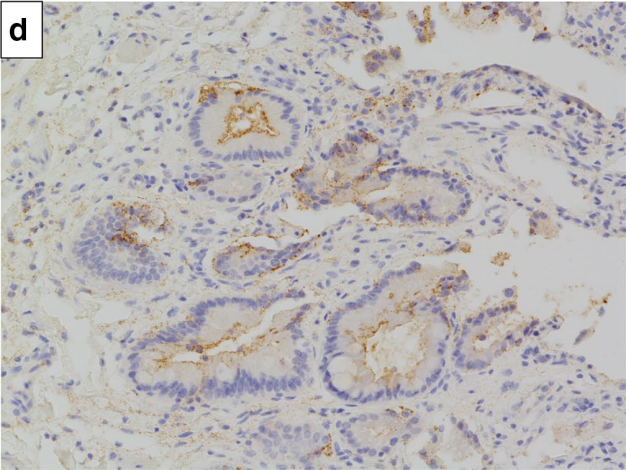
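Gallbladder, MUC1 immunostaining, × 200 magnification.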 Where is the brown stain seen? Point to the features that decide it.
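Small glands lined by a single layer of columnar cells sit in loose stroma. Brown stain lies at the inner, luminal edge of the glands. The cells' outer parts and nuclei are unstained. The answer: apical side.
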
